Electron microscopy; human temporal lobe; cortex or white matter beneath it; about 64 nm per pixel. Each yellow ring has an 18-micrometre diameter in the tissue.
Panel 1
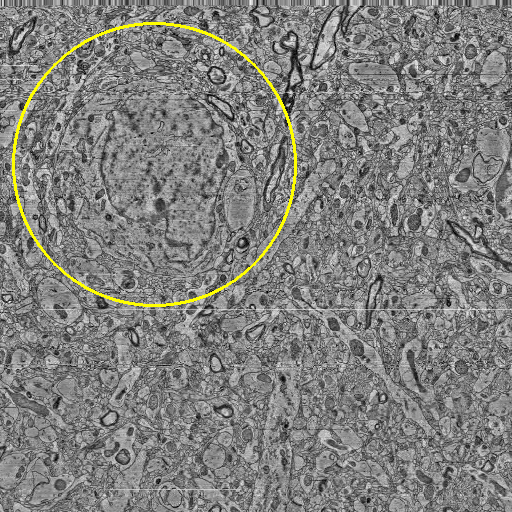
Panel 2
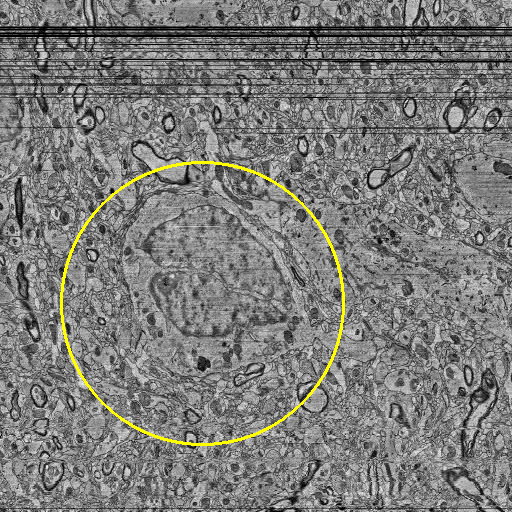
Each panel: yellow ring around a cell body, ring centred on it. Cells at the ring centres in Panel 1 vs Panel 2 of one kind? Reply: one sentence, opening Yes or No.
Yes, Panel 1 and Panel 2 have cells of one kind at the ring centres.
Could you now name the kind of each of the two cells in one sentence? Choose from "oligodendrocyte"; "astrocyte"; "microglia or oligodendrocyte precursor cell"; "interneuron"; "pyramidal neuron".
Both cells are the same kind, each one being an interneuron.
